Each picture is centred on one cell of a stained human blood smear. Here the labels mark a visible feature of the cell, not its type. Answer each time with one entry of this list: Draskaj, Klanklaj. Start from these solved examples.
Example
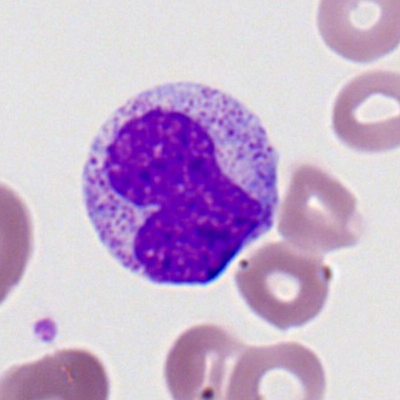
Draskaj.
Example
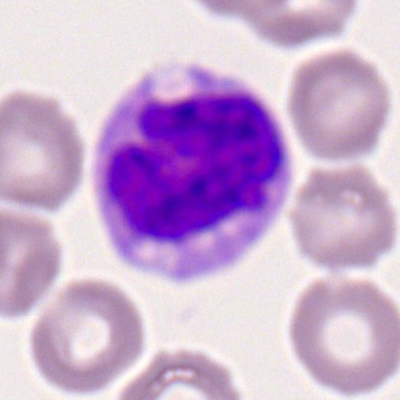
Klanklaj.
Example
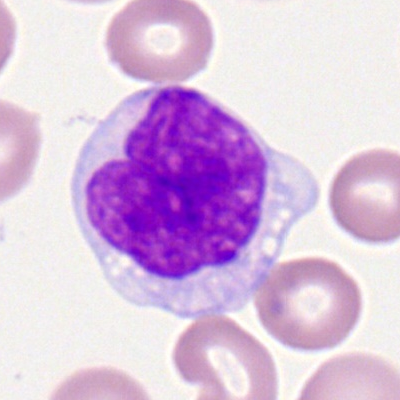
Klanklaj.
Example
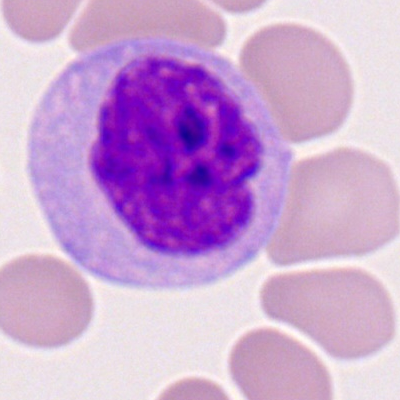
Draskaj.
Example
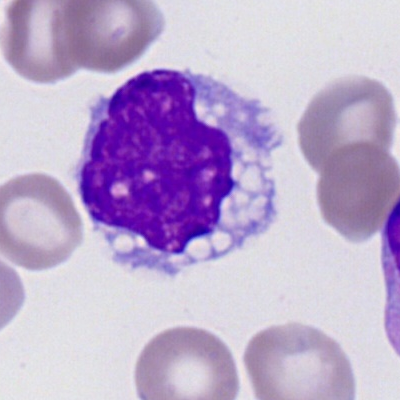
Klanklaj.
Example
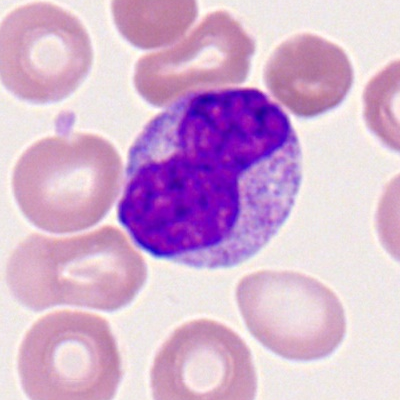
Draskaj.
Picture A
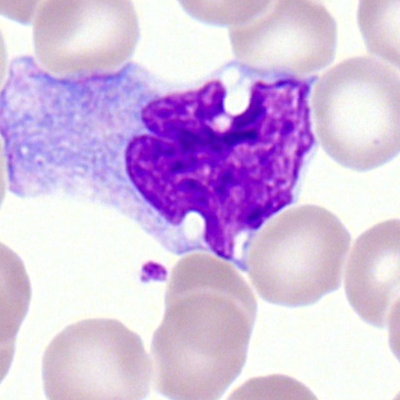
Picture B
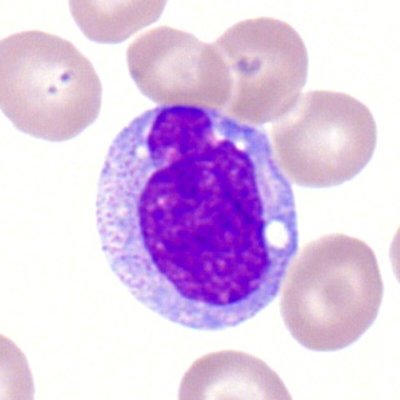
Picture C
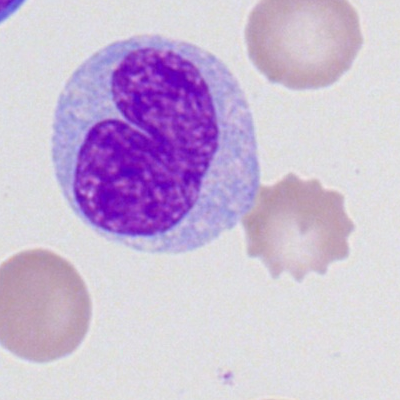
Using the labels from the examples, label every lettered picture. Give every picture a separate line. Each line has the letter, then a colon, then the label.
A: Klanklaj.
B: Klanklaj.
C: Draskaj.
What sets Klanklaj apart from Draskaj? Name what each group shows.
Klanklaj: vacuoles present; Draskaj: no vacuoles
